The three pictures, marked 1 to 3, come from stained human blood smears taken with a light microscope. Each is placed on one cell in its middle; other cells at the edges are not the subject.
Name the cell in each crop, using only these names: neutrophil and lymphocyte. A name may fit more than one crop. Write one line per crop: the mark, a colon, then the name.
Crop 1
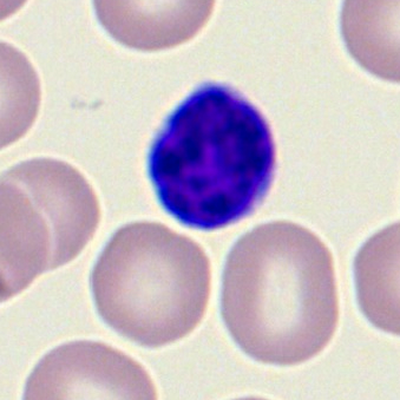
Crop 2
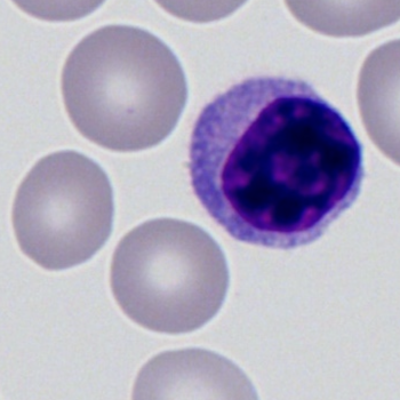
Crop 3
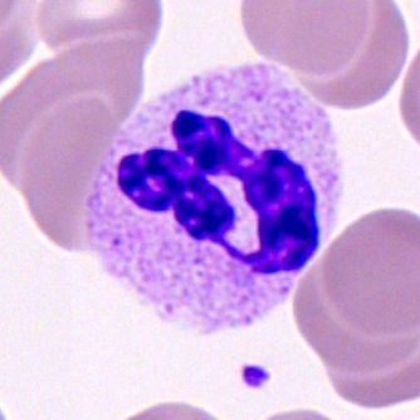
1: lymphocyte
2: lymphocyte
3: neutrophil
